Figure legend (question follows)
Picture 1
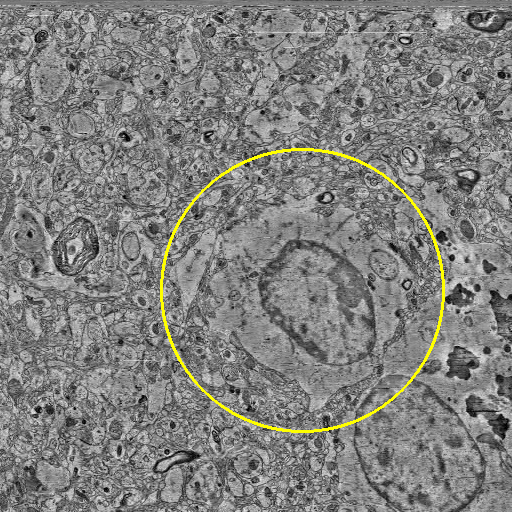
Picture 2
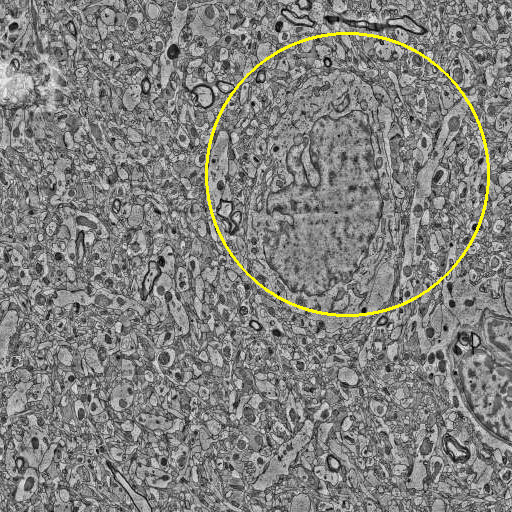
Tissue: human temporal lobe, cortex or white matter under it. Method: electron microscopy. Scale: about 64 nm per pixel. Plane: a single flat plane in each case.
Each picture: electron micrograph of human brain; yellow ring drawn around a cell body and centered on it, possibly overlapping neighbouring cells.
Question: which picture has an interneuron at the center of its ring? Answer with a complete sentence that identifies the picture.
Picture 2 has it at the center of its ring.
